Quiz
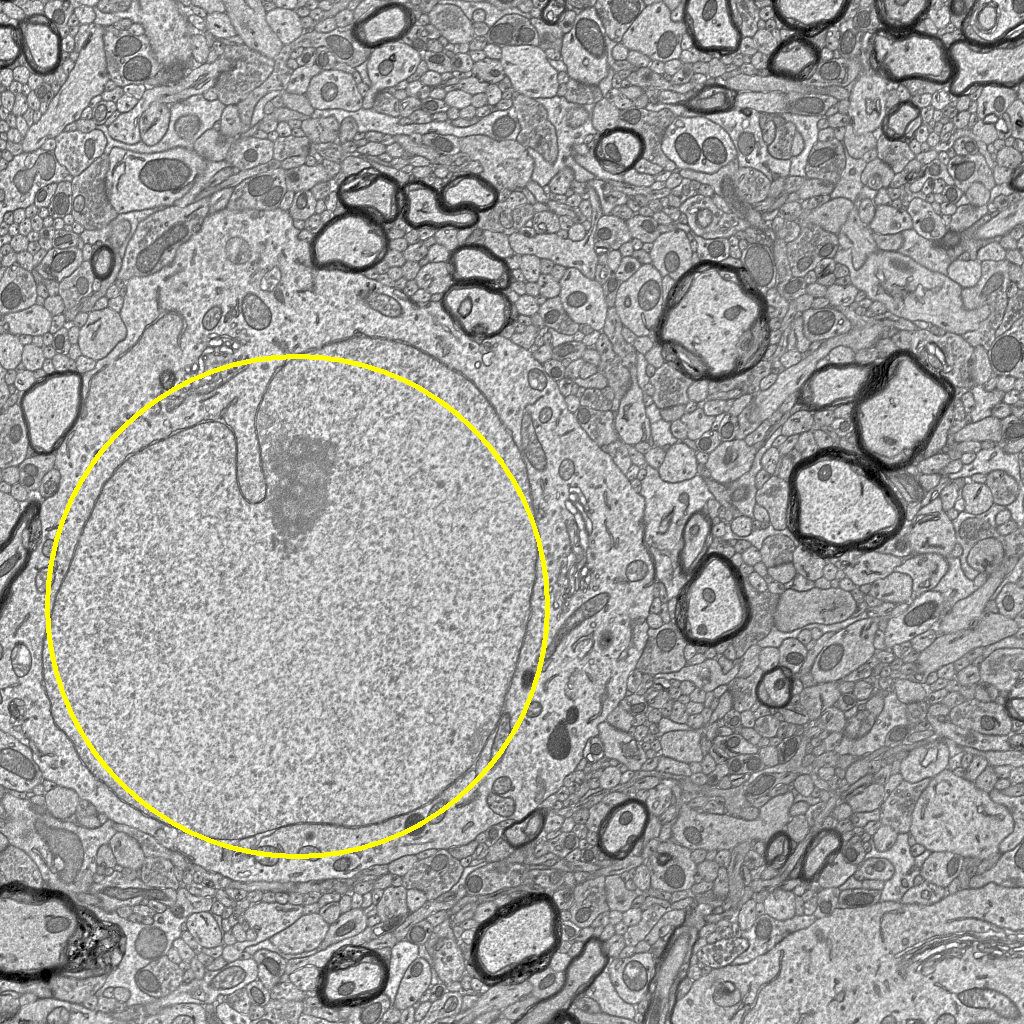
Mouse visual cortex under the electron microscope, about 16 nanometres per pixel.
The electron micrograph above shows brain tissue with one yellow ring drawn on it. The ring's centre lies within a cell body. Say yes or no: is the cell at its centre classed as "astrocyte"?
no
